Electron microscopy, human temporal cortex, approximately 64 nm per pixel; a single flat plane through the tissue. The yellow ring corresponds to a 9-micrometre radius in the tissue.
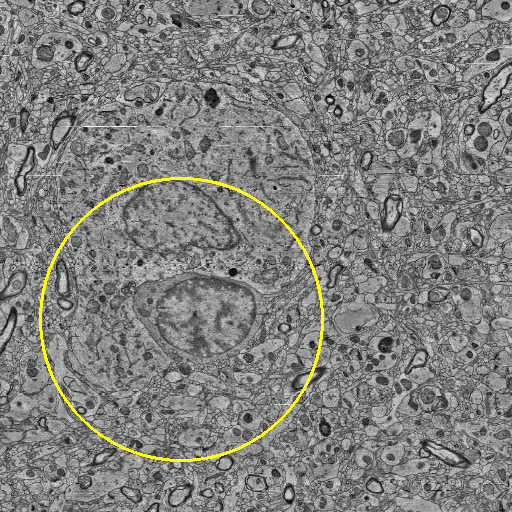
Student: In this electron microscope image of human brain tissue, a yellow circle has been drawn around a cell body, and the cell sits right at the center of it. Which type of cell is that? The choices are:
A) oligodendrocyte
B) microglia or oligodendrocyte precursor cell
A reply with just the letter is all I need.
A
